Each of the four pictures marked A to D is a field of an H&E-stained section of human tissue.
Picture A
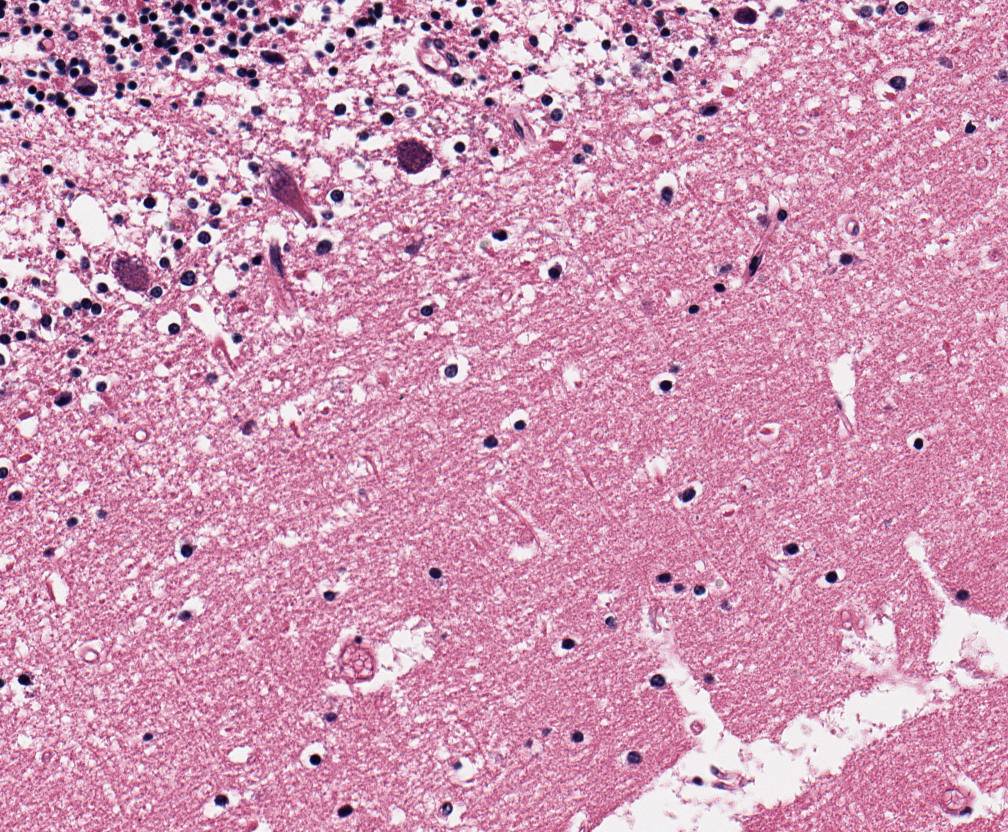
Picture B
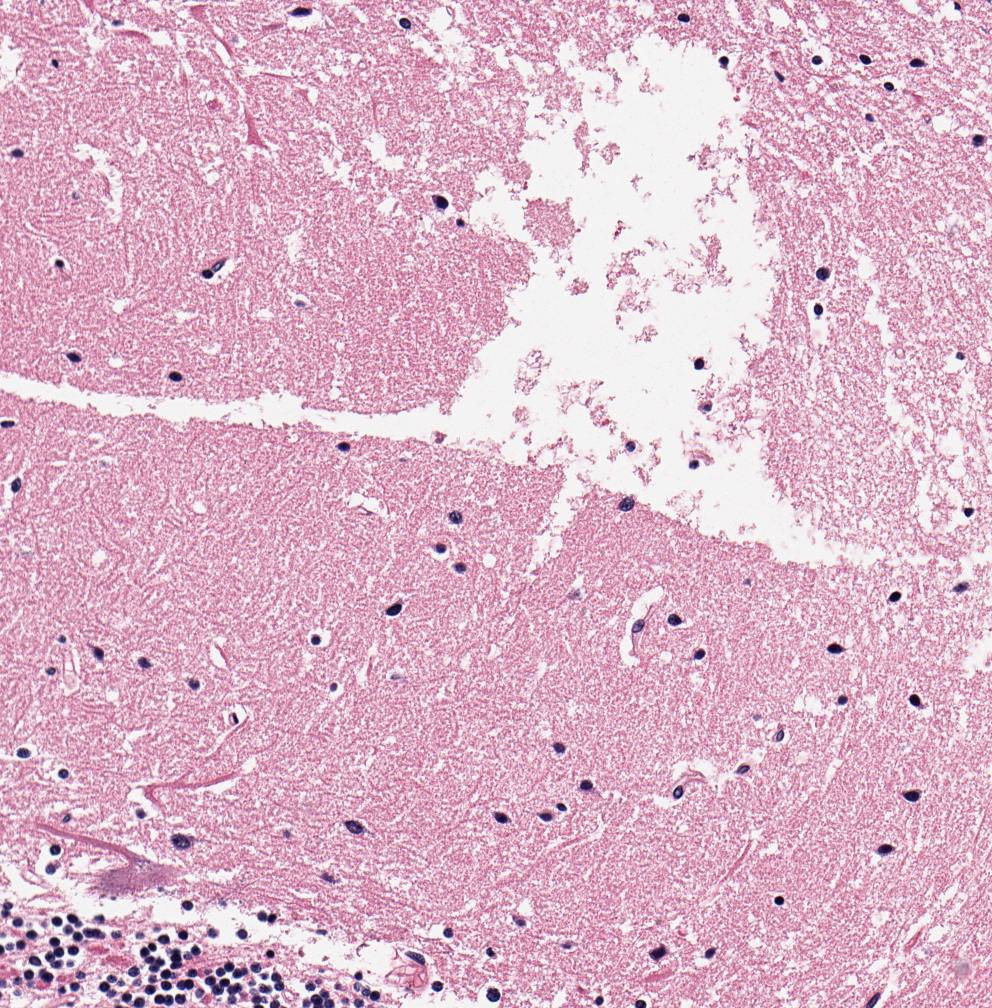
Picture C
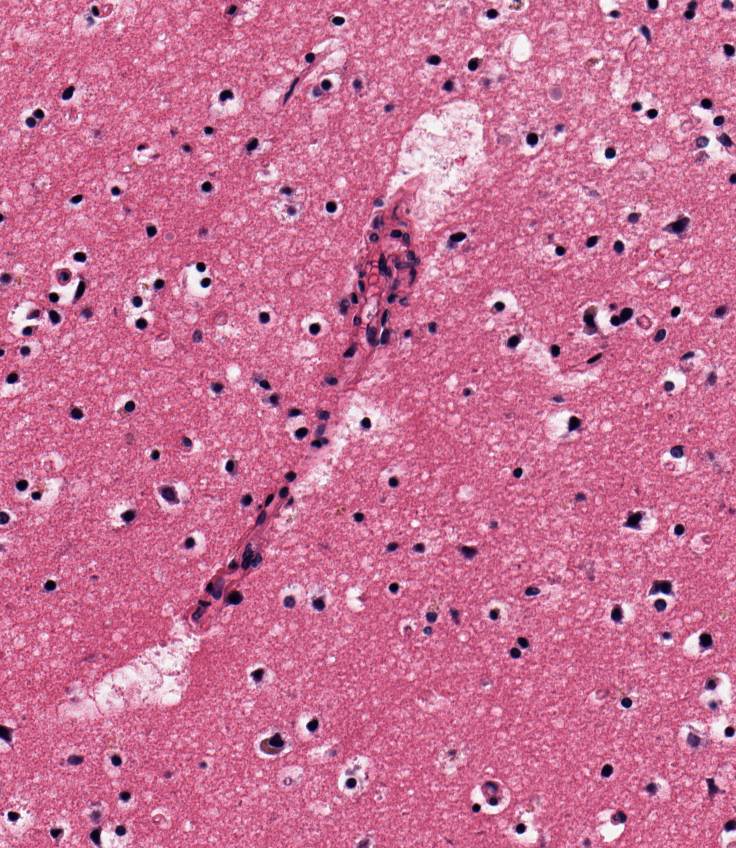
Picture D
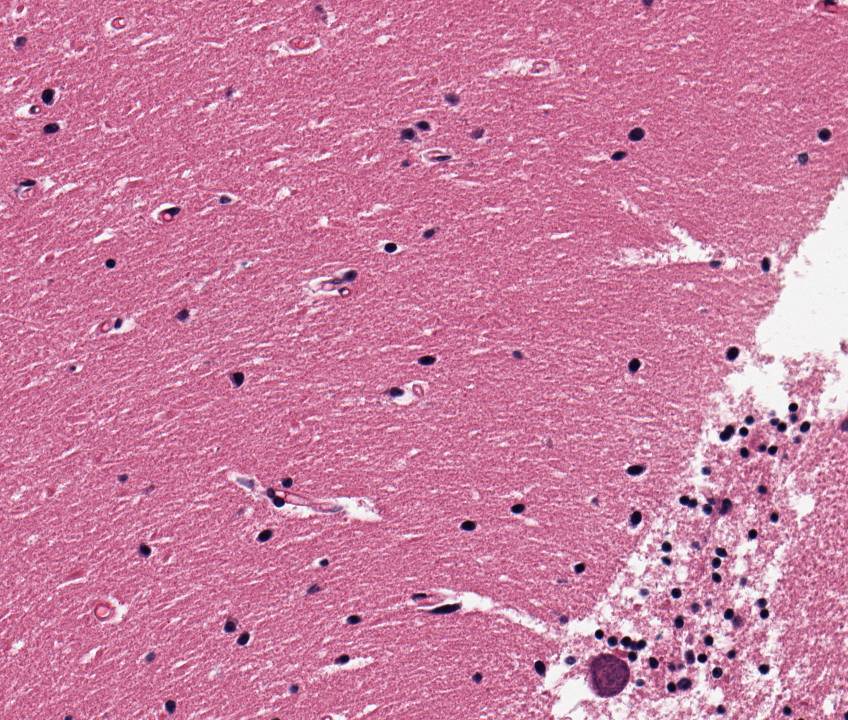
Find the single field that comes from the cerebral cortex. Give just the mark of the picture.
C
